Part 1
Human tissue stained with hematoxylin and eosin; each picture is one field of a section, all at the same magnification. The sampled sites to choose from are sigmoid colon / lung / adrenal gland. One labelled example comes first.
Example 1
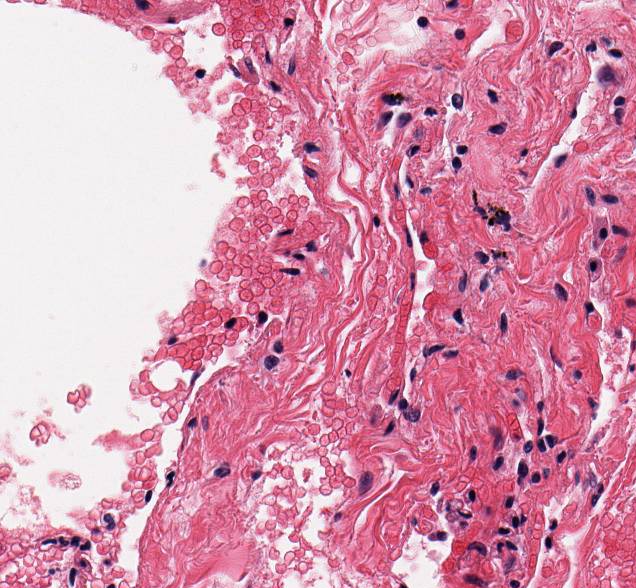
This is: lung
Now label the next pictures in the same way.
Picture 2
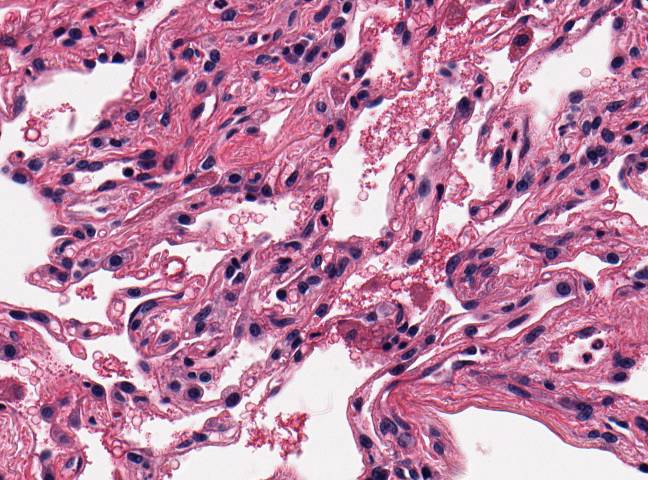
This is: lung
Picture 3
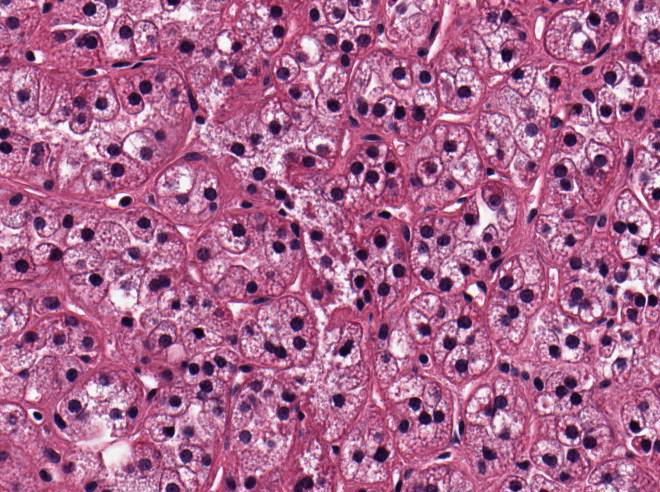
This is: adrenal gland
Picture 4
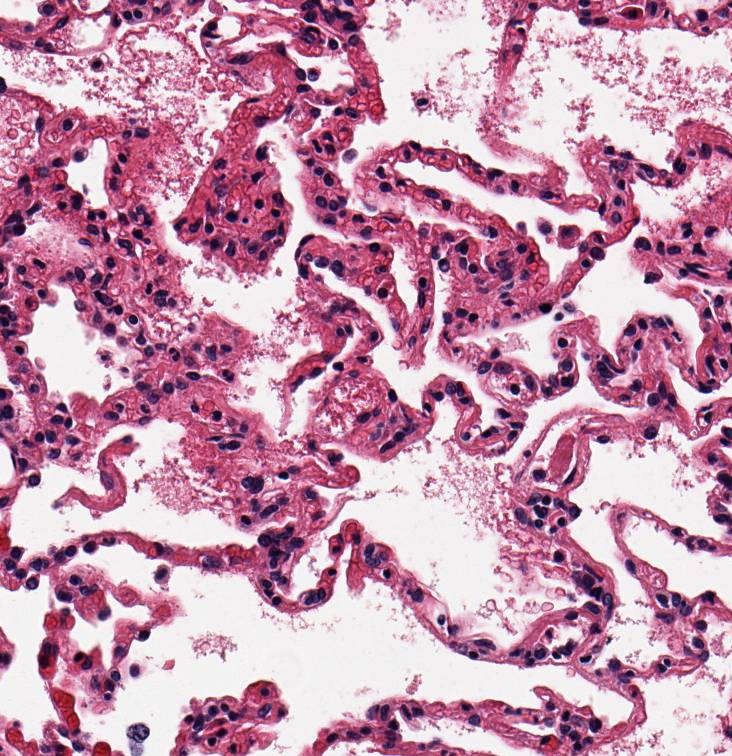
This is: lung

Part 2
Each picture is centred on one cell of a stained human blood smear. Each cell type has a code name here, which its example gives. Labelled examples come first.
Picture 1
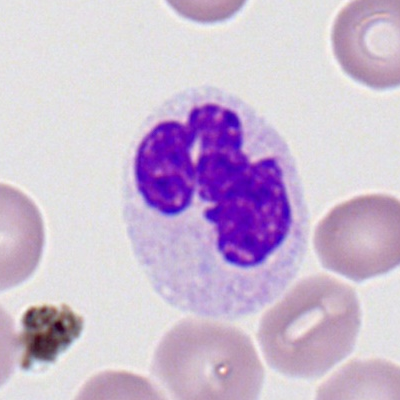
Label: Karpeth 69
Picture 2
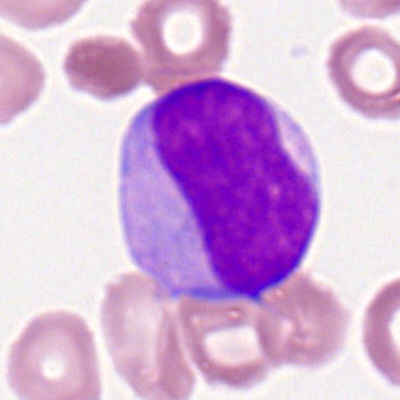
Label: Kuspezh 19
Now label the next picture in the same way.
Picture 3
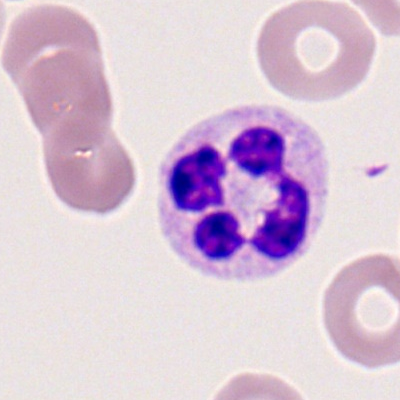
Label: Karpeth 69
